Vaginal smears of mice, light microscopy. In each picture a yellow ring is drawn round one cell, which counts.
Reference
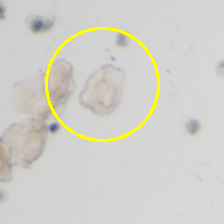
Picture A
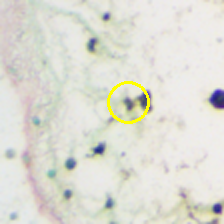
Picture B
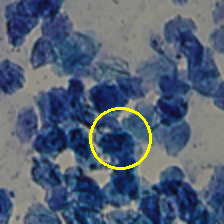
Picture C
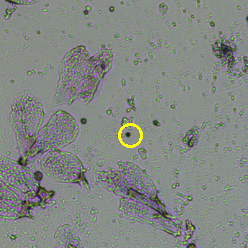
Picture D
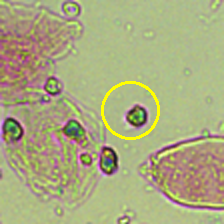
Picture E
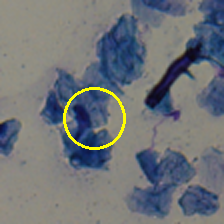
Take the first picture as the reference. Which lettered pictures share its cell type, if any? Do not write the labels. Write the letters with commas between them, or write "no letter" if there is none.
B, E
